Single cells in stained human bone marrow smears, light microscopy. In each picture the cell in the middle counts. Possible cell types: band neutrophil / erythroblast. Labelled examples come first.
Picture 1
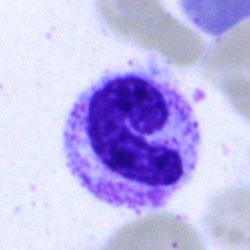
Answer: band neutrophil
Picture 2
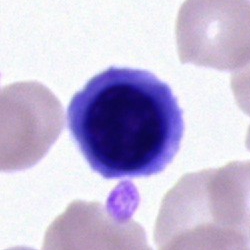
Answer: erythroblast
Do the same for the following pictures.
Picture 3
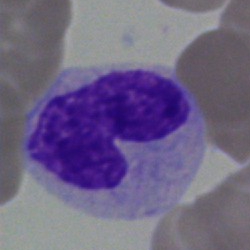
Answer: band neutrophil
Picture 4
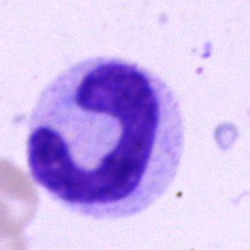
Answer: band neutrophil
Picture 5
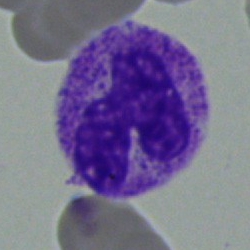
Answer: band neutrophil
